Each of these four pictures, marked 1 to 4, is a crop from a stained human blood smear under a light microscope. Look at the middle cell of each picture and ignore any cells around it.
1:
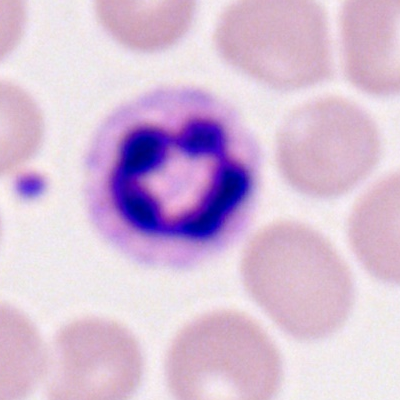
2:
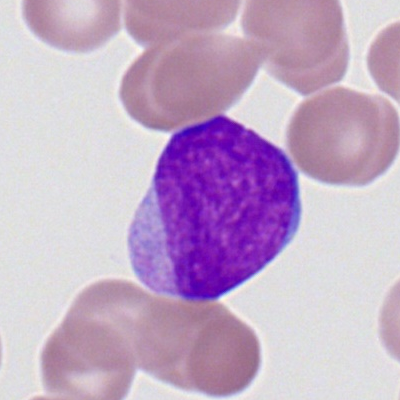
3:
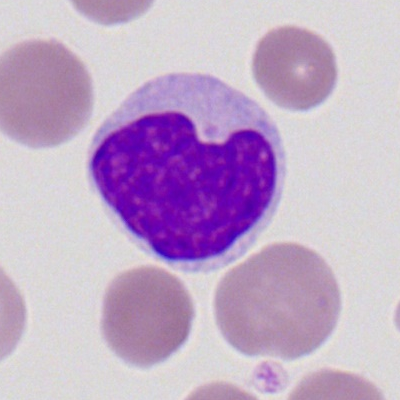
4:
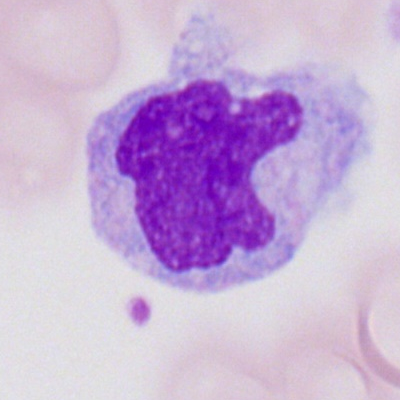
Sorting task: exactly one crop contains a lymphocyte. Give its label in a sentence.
As for which crop shows a lymphocyte, it is crop 3.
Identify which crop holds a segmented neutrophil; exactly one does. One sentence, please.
The crop carrying a segmented neutrophil at the center is crop 1.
